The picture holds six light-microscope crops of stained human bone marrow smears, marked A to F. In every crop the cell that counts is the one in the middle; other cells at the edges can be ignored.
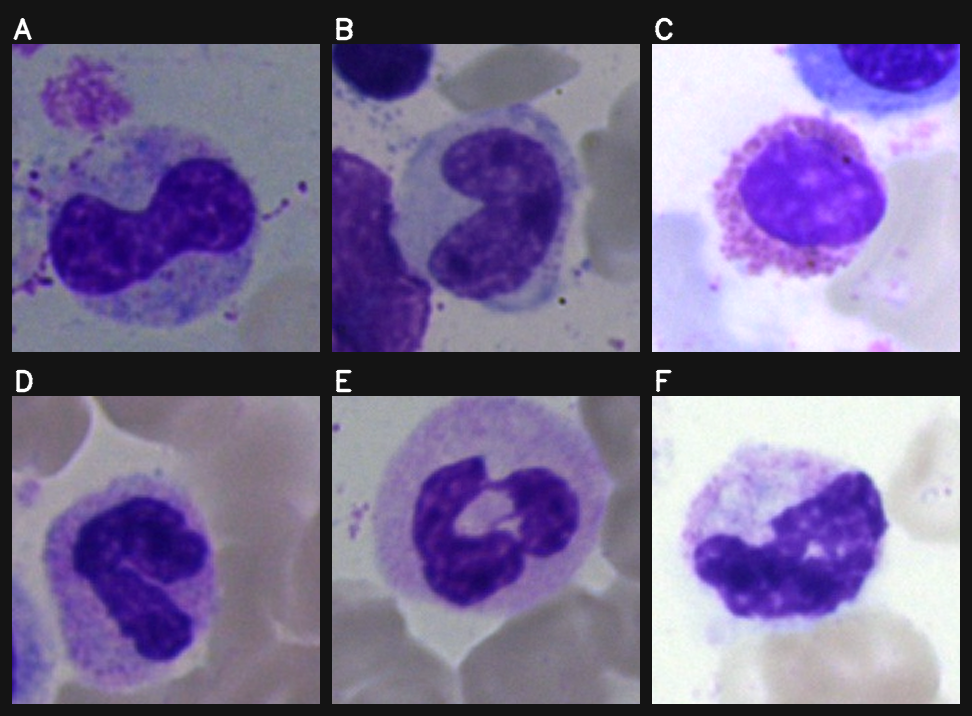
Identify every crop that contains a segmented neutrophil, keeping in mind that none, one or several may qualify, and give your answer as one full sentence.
Crops A, D, E and F each contain a central cell, and these cells are segmented neutrophils.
